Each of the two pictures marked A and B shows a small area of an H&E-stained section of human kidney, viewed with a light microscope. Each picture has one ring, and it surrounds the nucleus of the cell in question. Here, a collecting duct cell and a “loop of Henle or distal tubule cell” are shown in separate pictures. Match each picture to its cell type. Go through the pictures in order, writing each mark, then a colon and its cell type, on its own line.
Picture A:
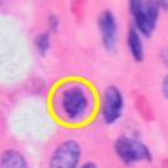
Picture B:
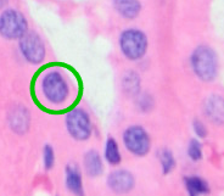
A: loop of Henle or distal tubule cell
B: collecting duct cell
